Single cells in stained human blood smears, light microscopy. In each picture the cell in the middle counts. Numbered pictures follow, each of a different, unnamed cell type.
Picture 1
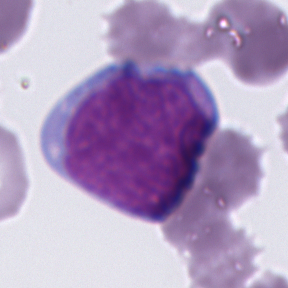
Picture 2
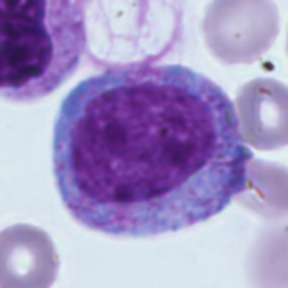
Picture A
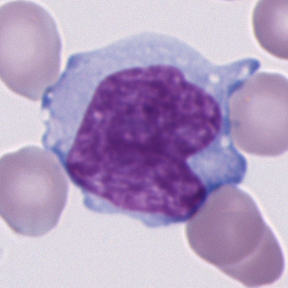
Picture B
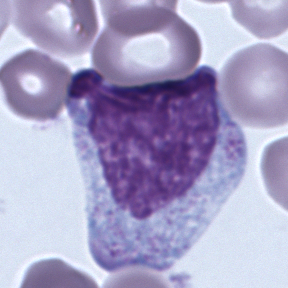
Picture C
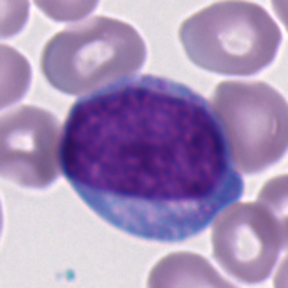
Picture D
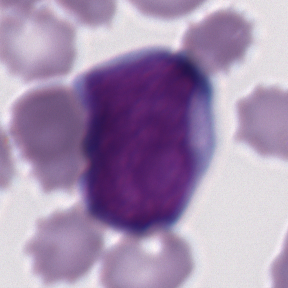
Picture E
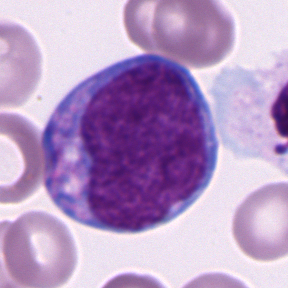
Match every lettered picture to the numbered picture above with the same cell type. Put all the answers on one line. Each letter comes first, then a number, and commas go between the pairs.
A 1, B 2, C 2, D 1, E 2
